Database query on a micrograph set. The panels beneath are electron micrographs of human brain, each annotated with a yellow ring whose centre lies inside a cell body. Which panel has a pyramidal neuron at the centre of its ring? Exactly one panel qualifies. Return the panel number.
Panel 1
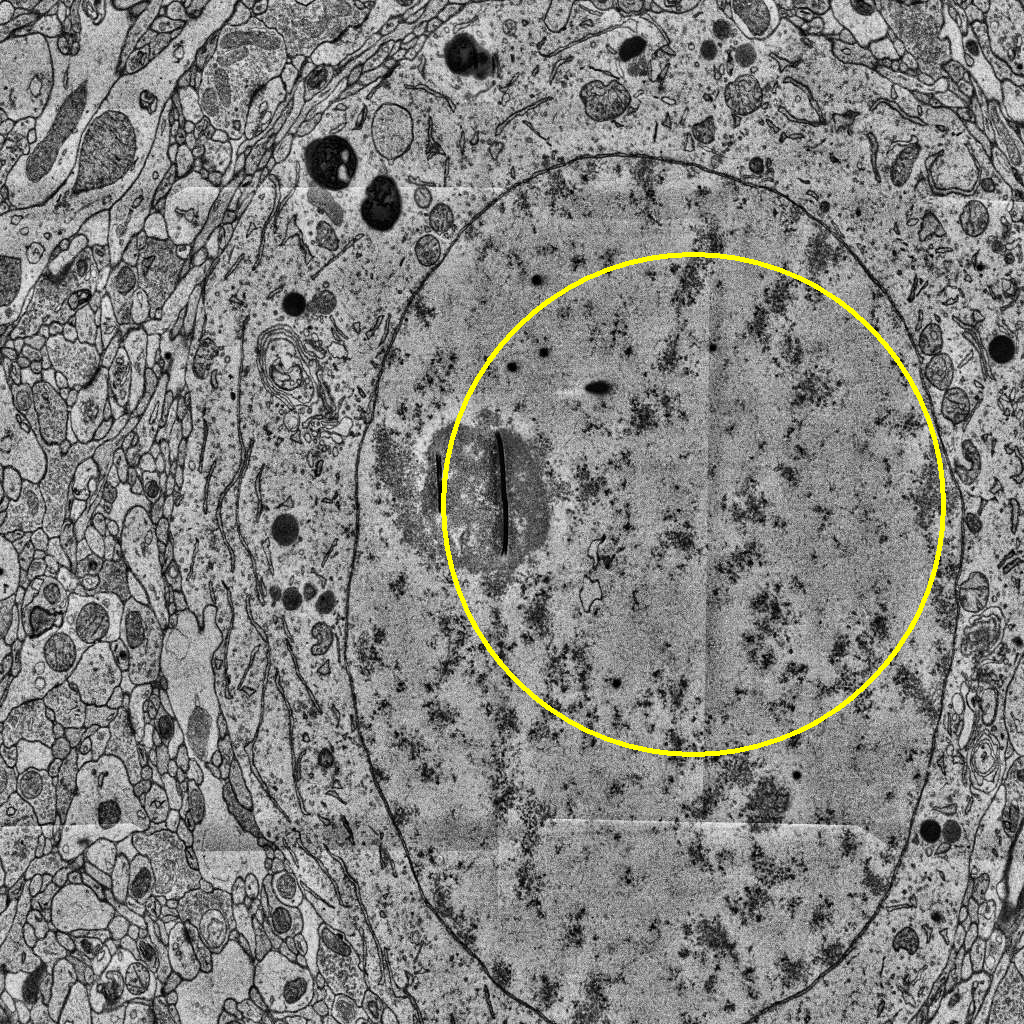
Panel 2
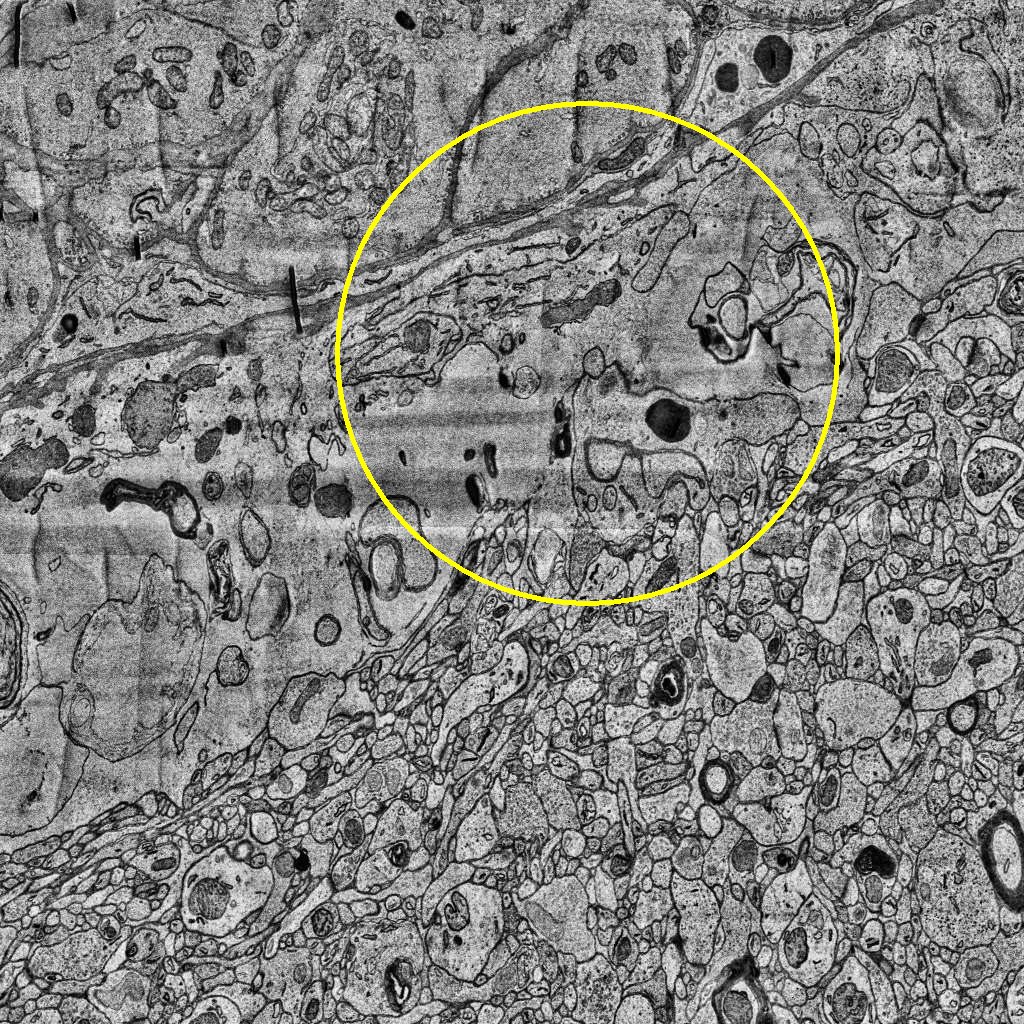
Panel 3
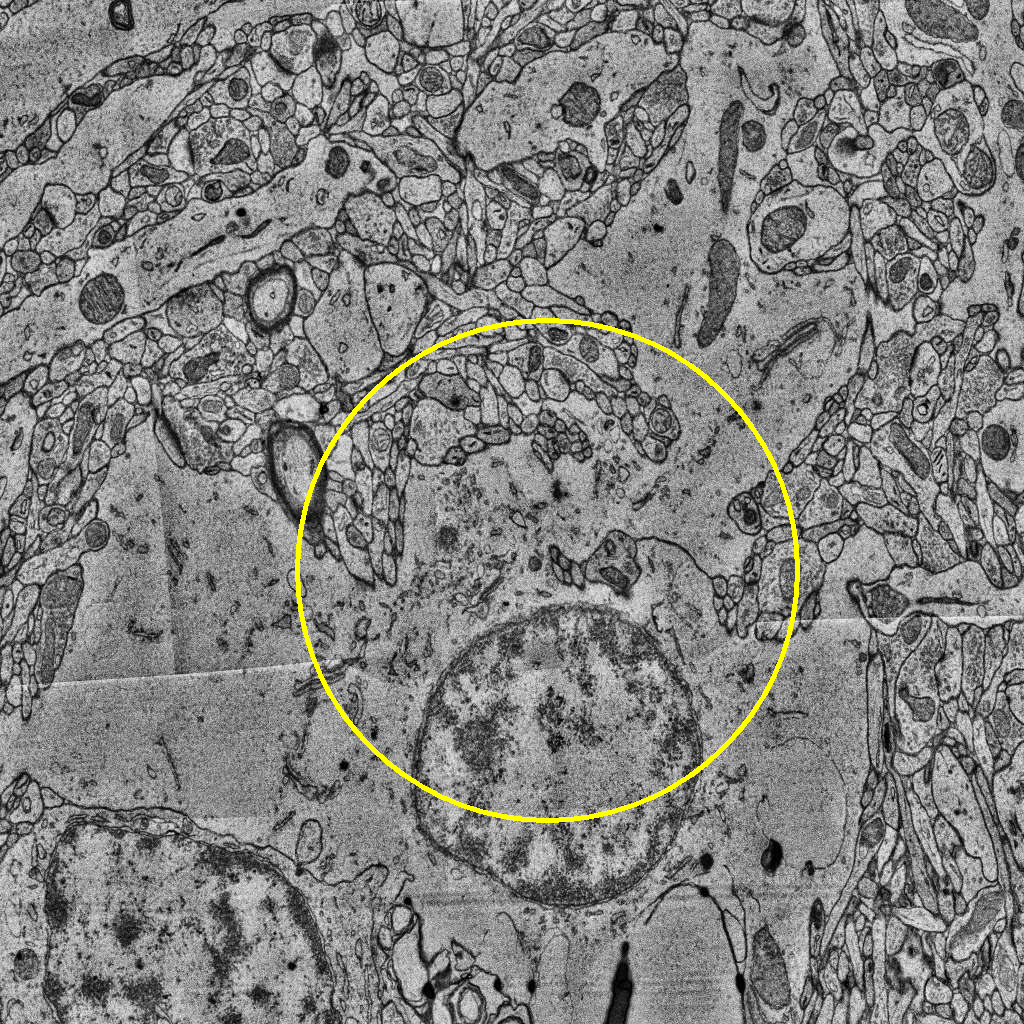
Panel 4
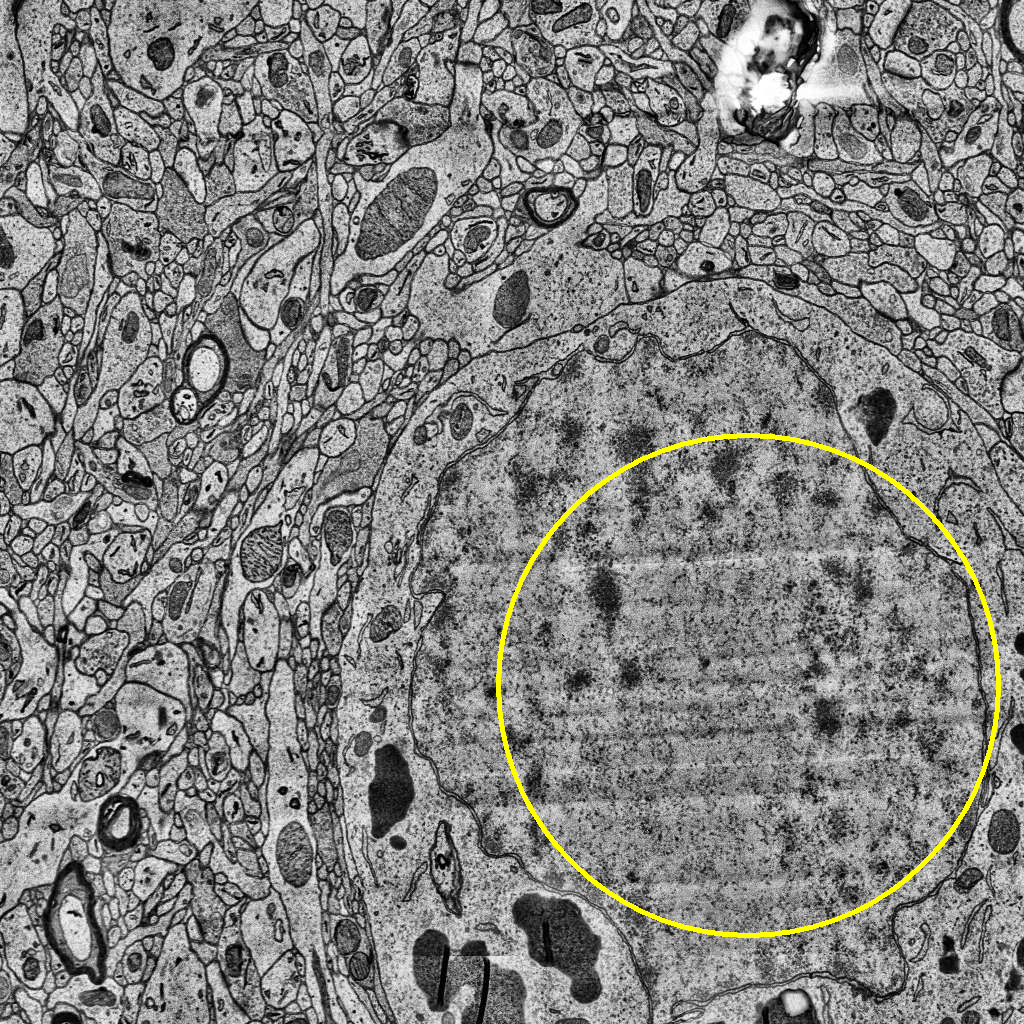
1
